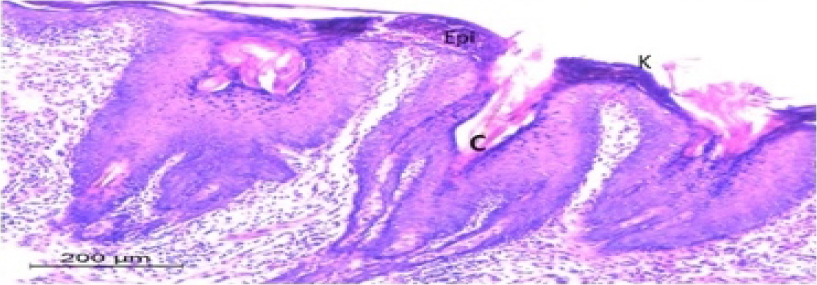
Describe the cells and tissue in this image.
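Pale pink, flaky keratin masses sit on the surface and fill cup-shaped depressions between the epithelial downgrowths. The epithelium is densely cellular, with many small dark nuclei. Narrow clefts separate some epithelial projections from the surrounding connective tissue.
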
